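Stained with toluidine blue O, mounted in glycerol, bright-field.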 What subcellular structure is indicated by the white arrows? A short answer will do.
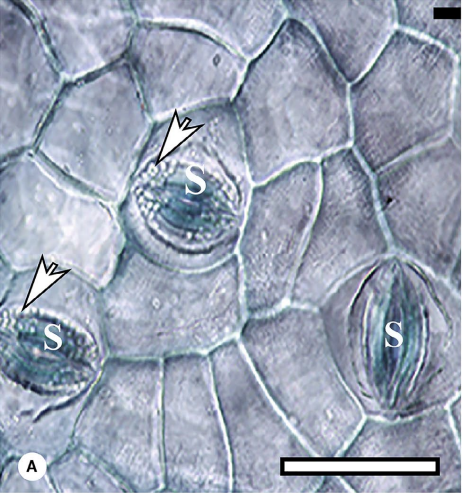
Plastids.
